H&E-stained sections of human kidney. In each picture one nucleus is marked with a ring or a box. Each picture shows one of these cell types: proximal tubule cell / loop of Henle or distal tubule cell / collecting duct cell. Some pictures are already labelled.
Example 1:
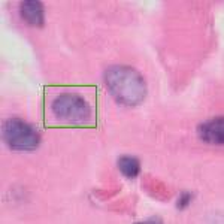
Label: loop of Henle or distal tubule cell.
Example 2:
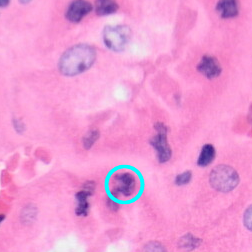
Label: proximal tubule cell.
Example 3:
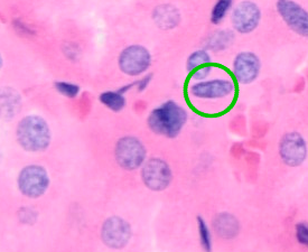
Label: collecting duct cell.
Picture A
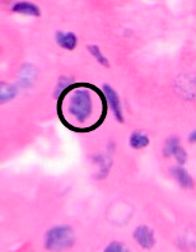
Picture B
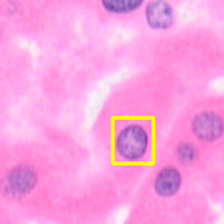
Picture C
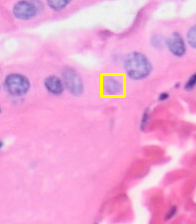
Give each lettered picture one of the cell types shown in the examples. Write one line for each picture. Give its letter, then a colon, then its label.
A: collecting duct cell.
B: proximal tubule cell.
C: collecting duct cell.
